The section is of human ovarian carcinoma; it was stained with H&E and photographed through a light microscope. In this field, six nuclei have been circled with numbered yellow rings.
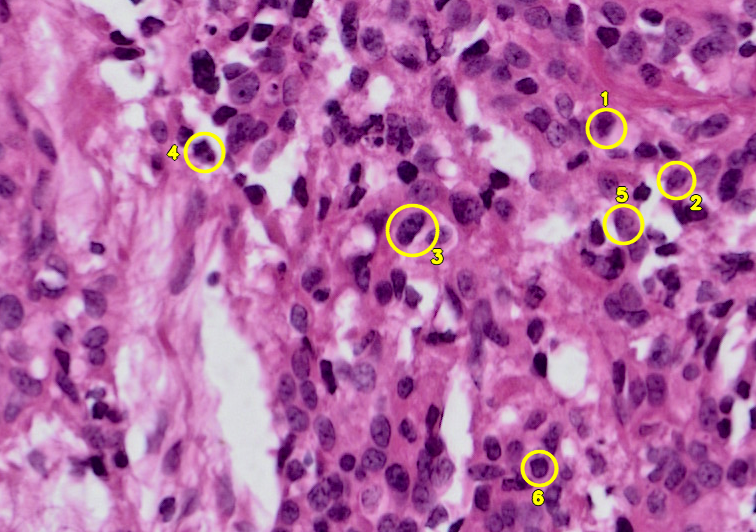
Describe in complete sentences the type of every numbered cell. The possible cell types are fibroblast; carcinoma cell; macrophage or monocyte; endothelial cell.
Cells 1, 2, 4 and 5 are carcinoma cells. Cells 3 and 6 are macrophages or monocytes.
